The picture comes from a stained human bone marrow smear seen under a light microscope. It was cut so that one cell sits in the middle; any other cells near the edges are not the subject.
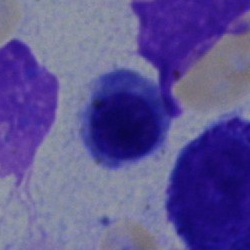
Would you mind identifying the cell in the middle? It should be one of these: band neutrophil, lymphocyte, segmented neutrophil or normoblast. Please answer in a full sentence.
The central element of this crop is a cell, namely a normoblast.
